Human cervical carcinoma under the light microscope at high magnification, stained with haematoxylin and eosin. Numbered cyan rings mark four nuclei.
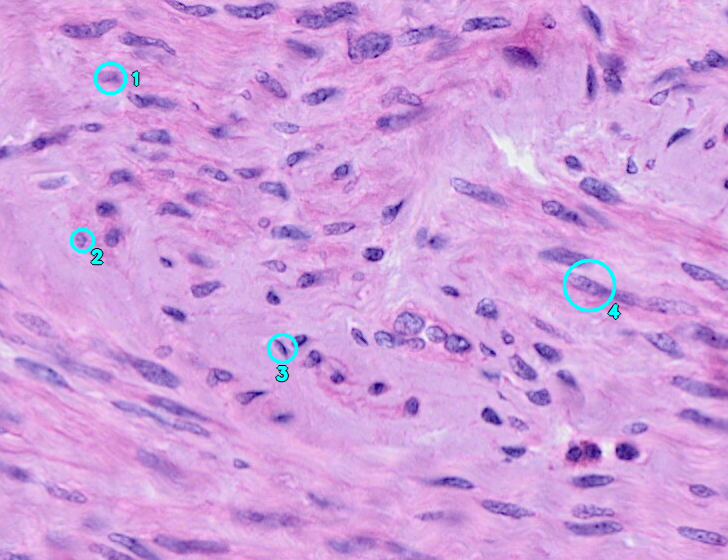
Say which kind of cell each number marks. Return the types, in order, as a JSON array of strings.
["smooth muscle cell", "smooth muscle cell", "fibroblast", "smooth muscle cell"]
